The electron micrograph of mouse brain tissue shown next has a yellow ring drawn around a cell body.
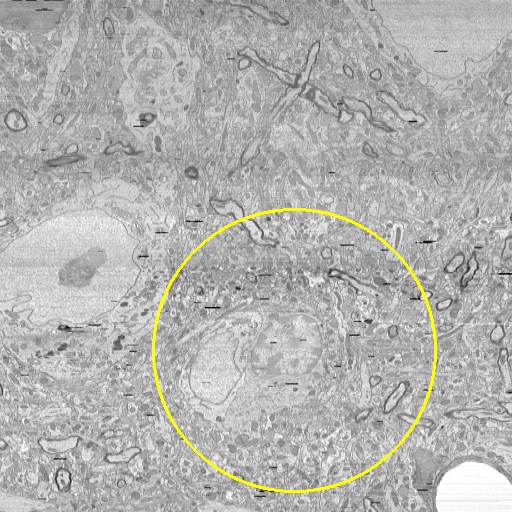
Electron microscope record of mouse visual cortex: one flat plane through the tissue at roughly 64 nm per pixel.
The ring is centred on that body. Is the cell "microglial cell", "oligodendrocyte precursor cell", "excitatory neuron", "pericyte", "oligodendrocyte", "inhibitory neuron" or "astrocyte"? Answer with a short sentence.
The cell in question is an oligodendrocyte.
